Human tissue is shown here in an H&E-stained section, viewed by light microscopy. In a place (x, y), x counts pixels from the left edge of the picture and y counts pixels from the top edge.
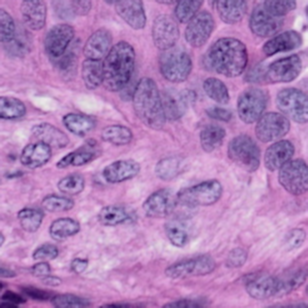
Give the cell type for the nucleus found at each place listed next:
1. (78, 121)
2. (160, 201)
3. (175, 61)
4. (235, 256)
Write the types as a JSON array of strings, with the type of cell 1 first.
["fibroblast", "fibroblast", "carcinoma cell", "fibroblast"]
